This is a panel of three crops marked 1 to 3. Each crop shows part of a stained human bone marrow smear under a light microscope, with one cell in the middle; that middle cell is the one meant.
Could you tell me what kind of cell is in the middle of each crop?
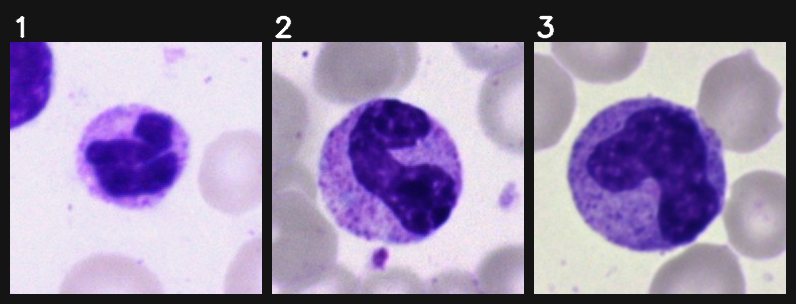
1: segmented neutrophil
2: band neutrophil
3: band neutrophil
